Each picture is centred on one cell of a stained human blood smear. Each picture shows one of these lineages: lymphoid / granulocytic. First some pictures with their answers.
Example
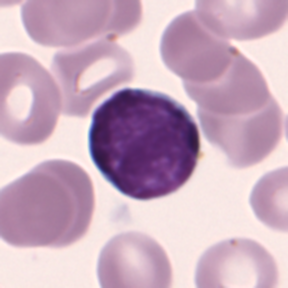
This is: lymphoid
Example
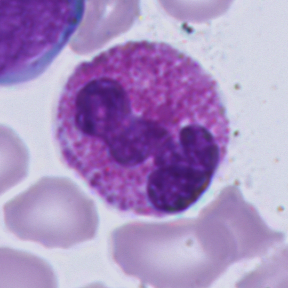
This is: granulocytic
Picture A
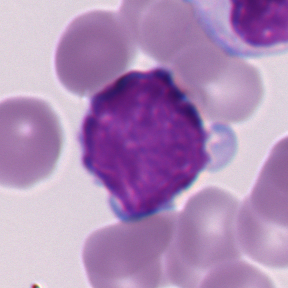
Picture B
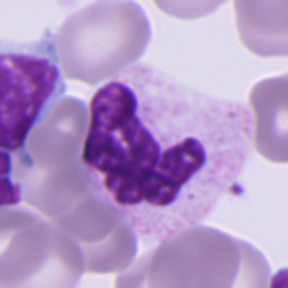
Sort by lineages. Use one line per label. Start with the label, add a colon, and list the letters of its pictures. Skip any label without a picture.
lymphoid: A
granulocytic: B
